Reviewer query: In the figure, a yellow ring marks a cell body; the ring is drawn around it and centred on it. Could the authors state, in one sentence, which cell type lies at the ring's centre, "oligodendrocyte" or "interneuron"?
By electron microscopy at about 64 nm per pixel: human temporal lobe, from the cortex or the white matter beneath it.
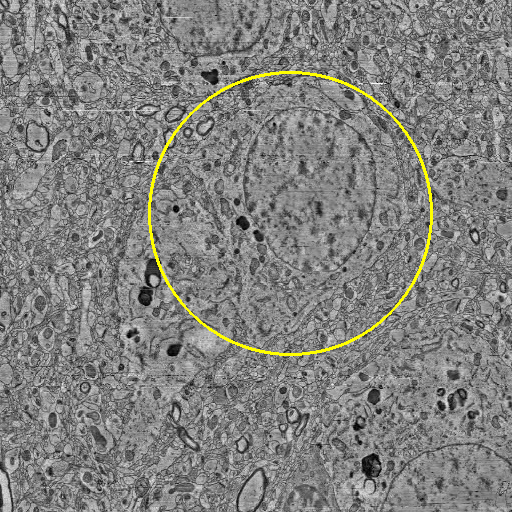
The ring is centred on an interneuron.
